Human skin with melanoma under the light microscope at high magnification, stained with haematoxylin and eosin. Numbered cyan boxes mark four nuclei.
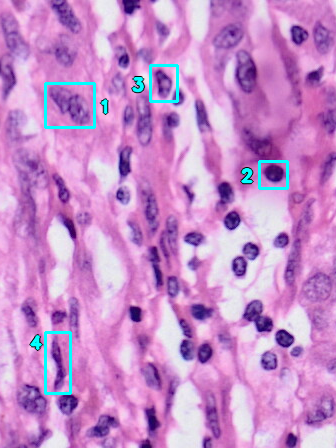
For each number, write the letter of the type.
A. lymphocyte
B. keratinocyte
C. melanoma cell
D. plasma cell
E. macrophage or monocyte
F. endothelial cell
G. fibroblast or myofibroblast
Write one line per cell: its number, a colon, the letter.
1: C
2: A
3: A
4: G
